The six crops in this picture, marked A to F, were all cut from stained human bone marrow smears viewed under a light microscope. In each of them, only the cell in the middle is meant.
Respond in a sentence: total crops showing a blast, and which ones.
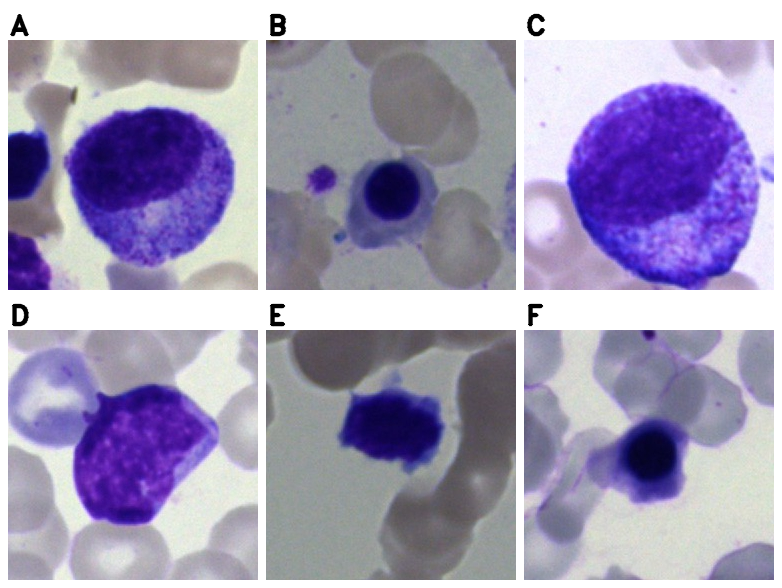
Only one crop has a blast at its centre, and it is crop D.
